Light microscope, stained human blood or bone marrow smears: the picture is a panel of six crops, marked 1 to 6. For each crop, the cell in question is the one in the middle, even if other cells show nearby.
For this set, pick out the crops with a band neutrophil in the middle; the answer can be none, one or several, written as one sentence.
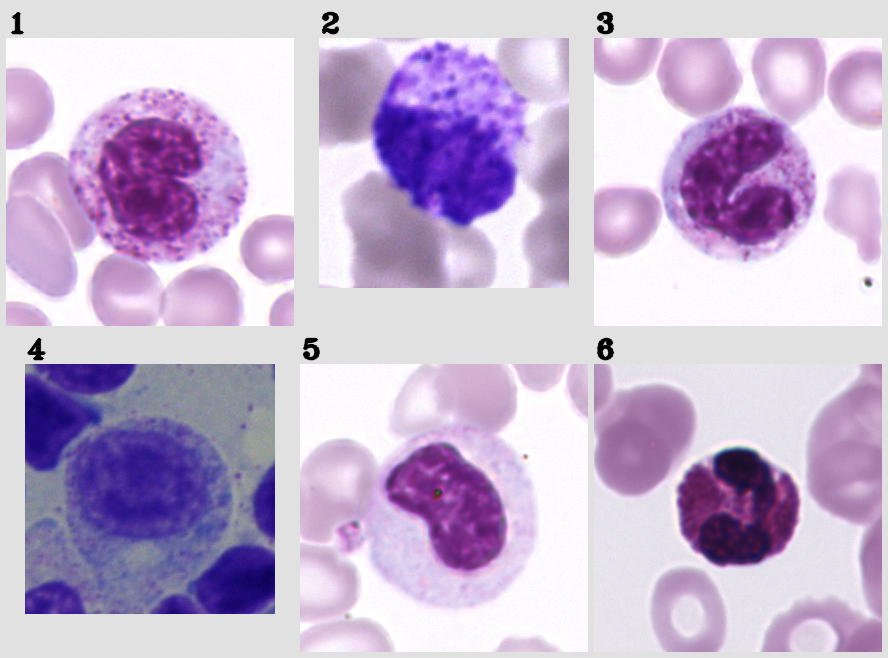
What crops 1 and 3 show in the centre are band neutrophils.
